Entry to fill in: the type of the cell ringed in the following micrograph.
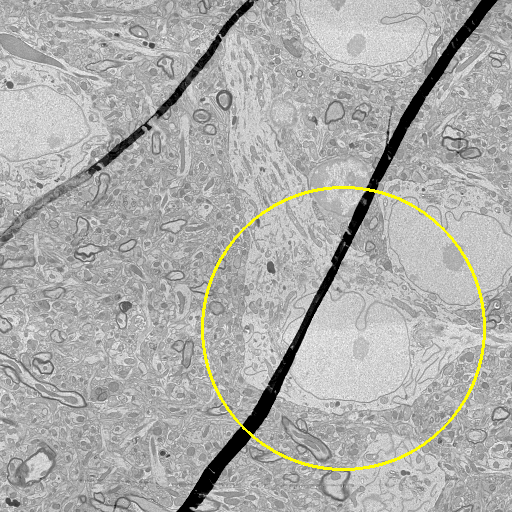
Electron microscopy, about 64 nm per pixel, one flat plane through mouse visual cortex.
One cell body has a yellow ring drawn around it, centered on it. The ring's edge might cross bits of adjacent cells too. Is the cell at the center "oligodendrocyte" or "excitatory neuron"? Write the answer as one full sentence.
This entry names an excitatory neuron as the cell whose body lies at the ring's center.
